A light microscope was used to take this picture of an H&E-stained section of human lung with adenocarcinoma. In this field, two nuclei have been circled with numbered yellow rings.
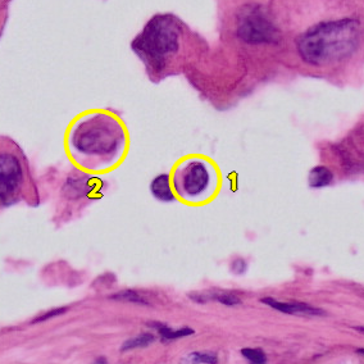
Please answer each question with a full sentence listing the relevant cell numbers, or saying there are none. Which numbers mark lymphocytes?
Only at number 1 is there a lymphocyte.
